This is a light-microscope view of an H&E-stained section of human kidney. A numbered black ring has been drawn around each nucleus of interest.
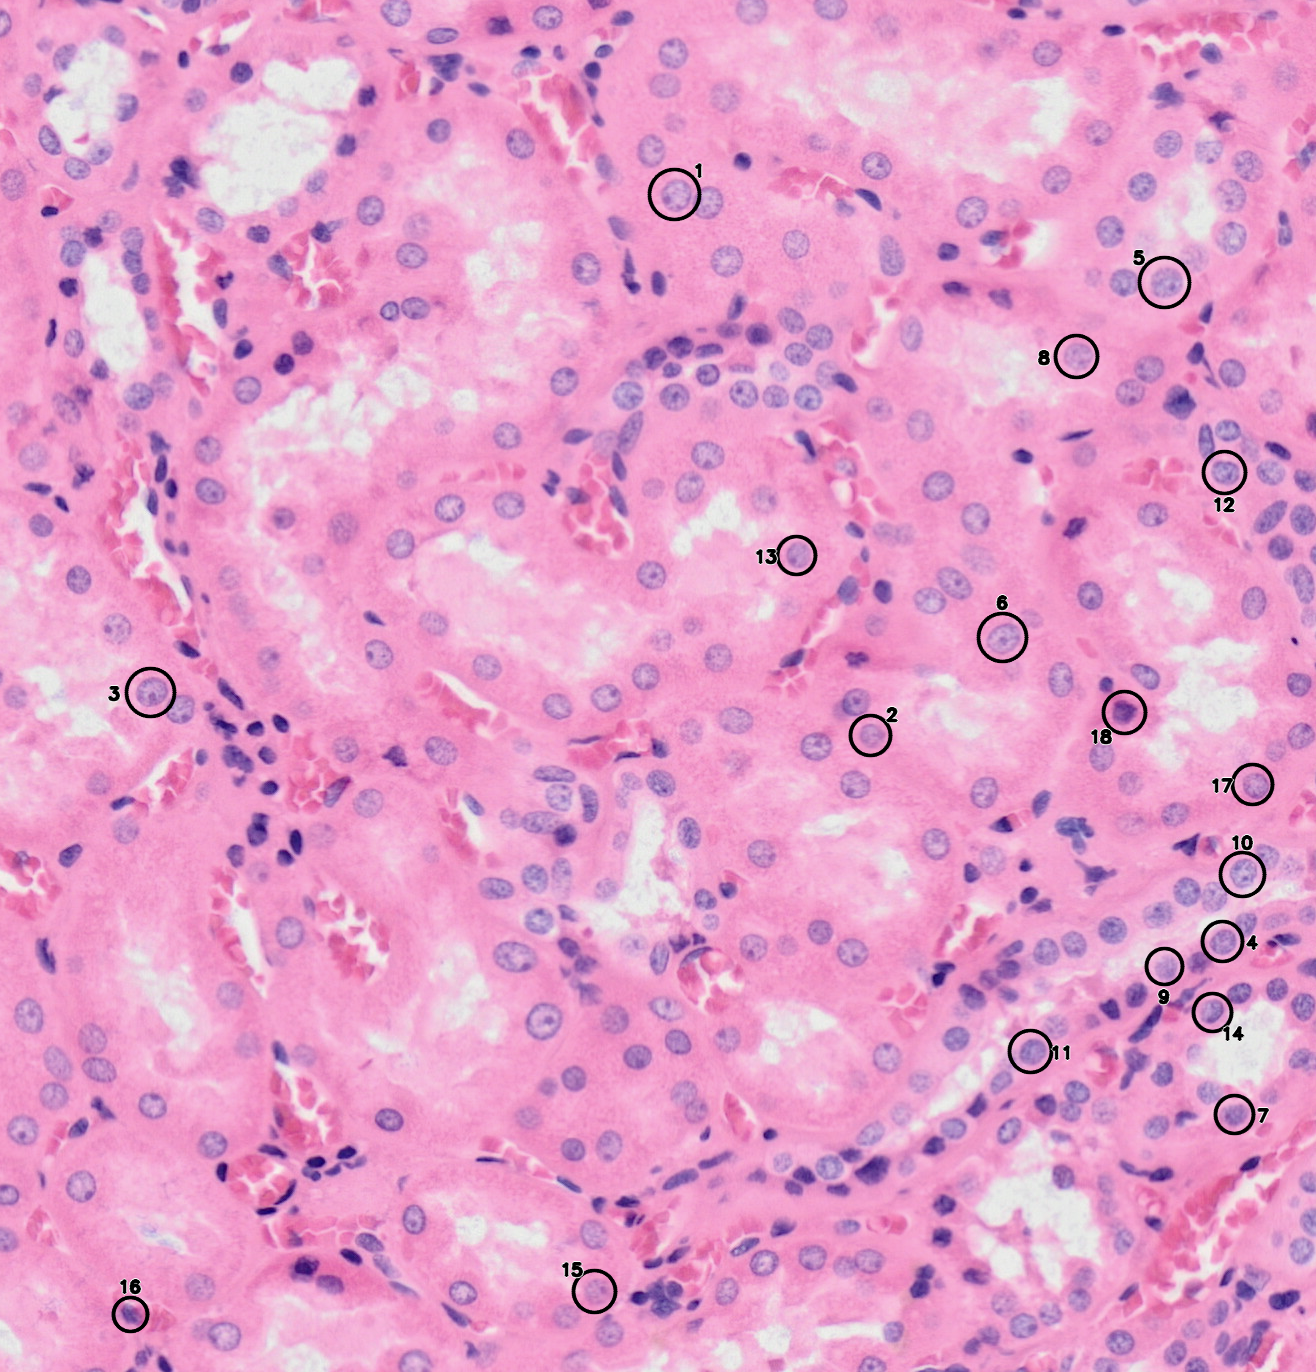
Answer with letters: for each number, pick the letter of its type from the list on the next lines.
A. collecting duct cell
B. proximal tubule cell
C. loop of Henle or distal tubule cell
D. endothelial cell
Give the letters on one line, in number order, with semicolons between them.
B; B; B; A; C; B; C; B; A; A; A; A; B; C; B; D; B; B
